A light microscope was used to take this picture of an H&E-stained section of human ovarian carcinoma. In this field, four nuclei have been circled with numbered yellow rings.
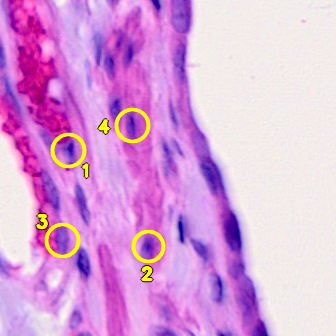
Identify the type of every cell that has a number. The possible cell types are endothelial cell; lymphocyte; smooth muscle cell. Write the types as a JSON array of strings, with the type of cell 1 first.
["endothelial cell", "smooth muscle cell", "endothelial cell", "smooth muscle cell"]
